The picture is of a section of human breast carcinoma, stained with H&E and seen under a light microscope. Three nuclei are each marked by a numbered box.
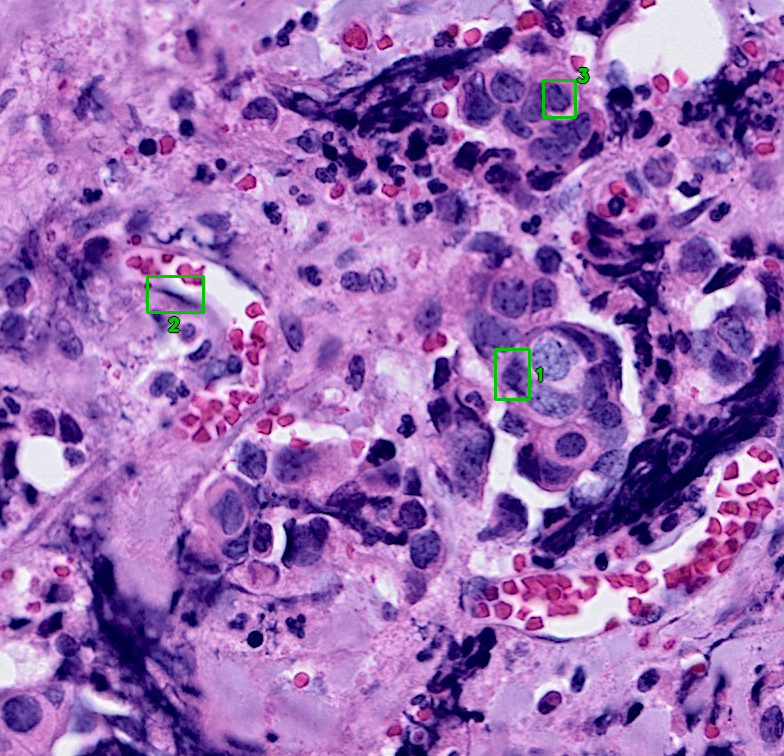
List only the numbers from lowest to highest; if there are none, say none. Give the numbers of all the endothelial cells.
2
